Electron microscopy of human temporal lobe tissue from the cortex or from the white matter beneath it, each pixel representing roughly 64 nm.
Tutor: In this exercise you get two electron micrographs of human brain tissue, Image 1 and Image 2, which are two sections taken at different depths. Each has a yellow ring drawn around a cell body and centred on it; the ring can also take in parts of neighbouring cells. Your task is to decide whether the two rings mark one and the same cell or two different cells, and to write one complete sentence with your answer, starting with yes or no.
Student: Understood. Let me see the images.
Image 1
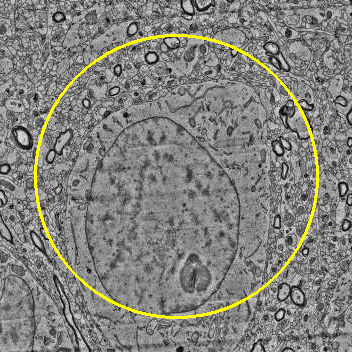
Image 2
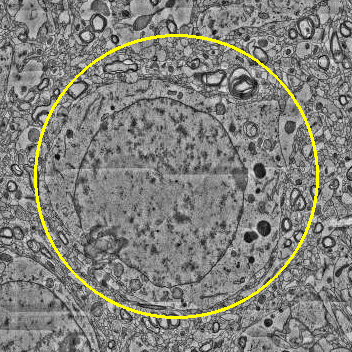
No, the circled cells number two, not one.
